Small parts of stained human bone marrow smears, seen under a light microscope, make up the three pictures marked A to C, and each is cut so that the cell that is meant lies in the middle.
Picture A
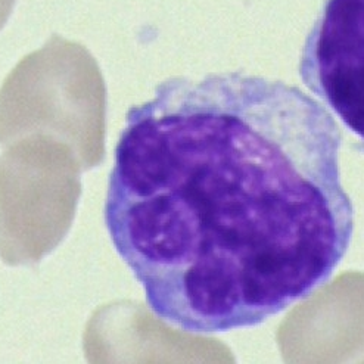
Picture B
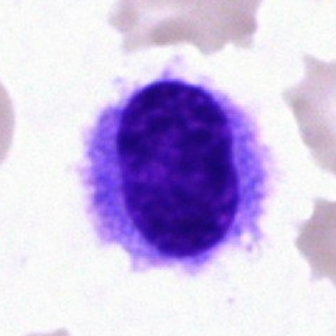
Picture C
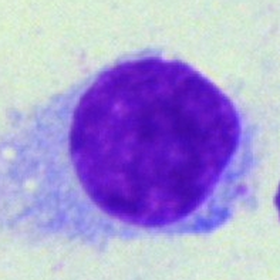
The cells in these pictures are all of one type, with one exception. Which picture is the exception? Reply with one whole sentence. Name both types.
Picture A differs, because its cell is a monocyte and the rest are hairy cells.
